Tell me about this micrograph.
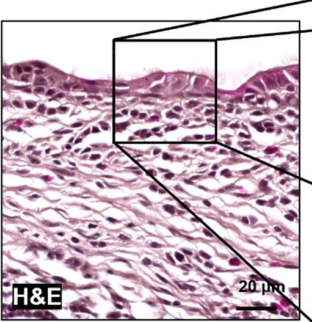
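This view shows a thin pink surface lining resting on a loose connective tissue. The surface cells form a narrow, slightly wavy layer along the top edge. Below them lie numerous dark purple, elongated or oval nuclei spread through a pale, wispy fibrous stroma. A few small, bright pink-red bodies are scattered among them.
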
